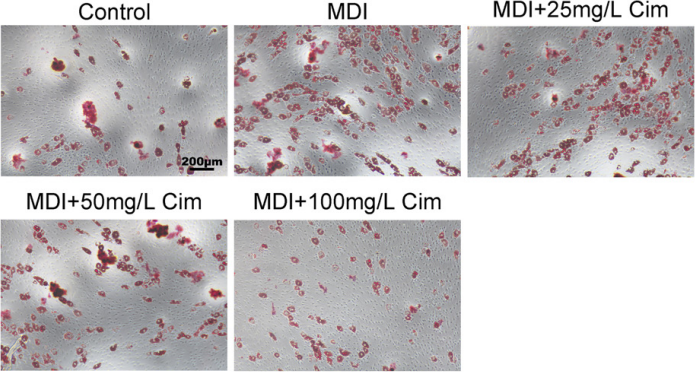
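Five low-magnification brightfield fields show cultured fat-forming cells scattered across a grey background. A few dark brown-black clumps also lie among the cells. The density of red-stained cells varies from field to field: some fields are crowded with red cells, while others show fewer and more widely spaced ones.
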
